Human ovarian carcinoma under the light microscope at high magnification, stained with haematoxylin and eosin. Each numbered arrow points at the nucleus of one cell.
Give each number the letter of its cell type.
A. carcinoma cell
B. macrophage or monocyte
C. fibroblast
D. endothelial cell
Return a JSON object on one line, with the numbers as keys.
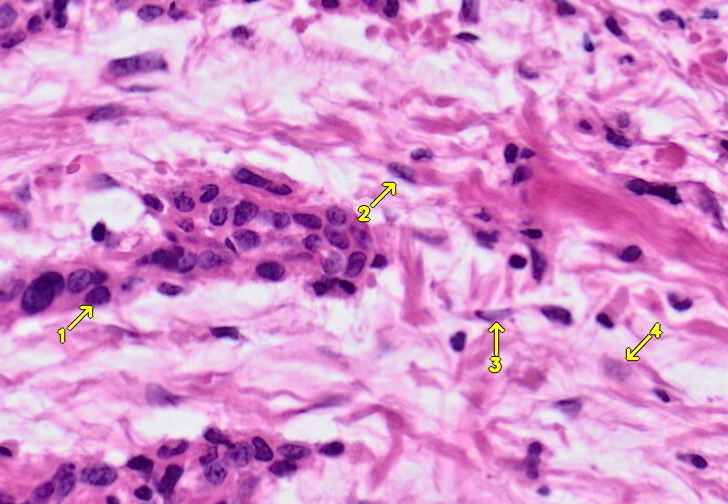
{"1": "A", "2": "C", "3": "C", "4": "C"}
